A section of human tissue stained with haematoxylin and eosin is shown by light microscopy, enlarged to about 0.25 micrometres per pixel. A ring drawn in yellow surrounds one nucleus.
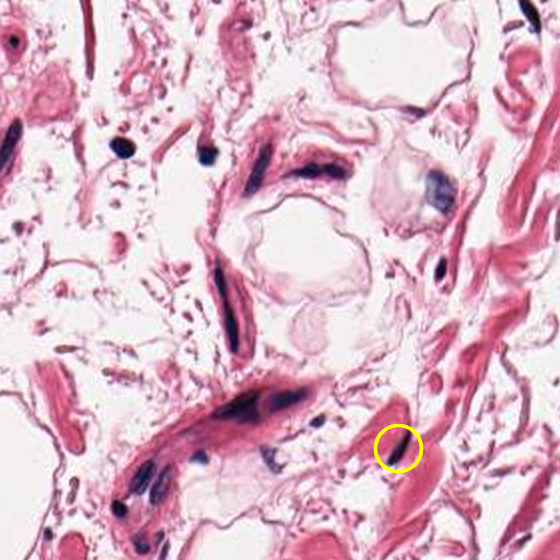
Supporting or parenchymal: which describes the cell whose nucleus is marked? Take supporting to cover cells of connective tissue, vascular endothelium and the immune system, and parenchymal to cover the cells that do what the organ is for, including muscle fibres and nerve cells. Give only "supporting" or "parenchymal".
supporting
